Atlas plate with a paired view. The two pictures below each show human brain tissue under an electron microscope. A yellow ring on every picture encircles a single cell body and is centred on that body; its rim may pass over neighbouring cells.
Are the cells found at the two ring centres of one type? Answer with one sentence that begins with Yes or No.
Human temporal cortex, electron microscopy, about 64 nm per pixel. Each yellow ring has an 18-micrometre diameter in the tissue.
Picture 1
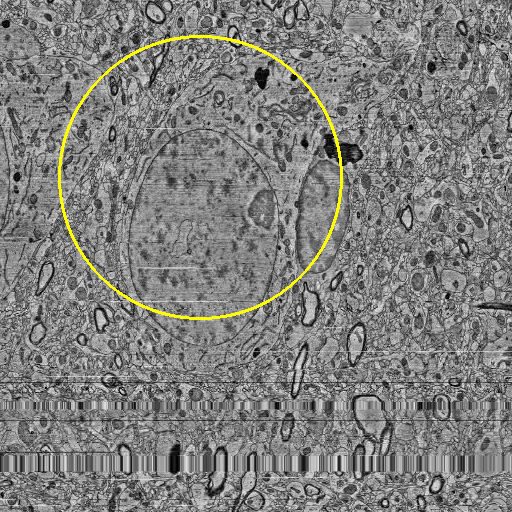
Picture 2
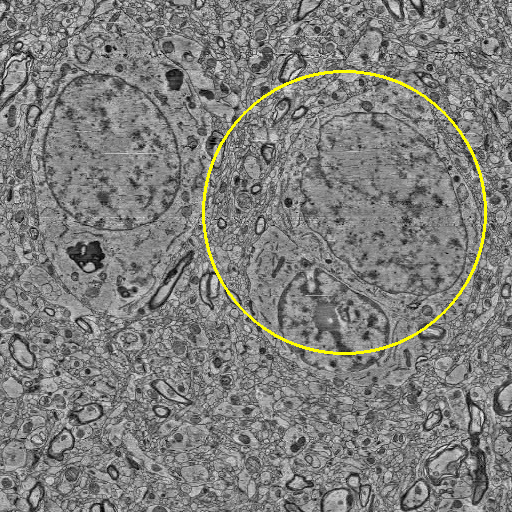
Yes, the two cells lying at the centres of the rings share a single type.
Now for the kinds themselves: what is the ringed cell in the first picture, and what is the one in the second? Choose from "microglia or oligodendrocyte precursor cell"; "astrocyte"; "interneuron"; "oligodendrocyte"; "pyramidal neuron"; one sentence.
Each of the ringed cells, first and second, is a pyramidal neuron.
